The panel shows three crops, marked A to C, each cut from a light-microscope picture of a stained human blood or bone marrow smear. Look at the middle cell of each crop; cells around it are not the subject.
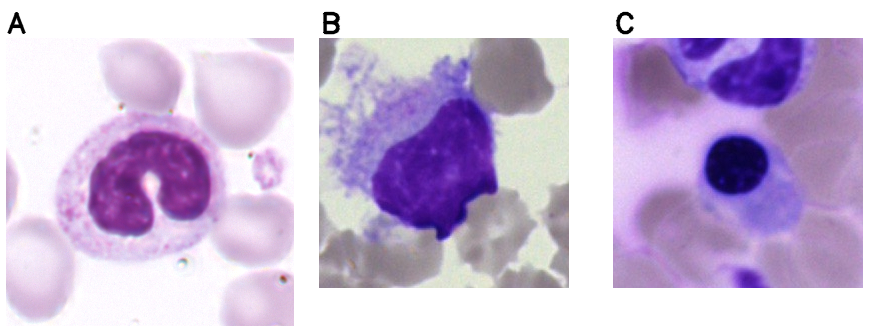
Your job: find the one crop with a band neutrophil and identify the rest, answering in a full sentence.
Identified in crop A is a band neutrophil, whereas crop B is a hairy cell and crop C is an erythroblast.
